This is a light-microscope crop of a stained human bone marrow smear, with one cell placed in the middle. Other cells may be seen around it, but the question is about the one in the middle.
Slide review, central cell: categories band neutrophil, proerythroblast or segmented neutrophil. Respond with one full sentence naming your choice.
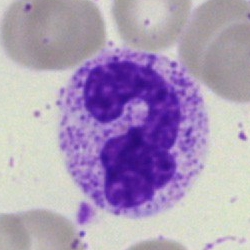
Classified as a segmented neutrophil is the cell in the middle of this crop.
